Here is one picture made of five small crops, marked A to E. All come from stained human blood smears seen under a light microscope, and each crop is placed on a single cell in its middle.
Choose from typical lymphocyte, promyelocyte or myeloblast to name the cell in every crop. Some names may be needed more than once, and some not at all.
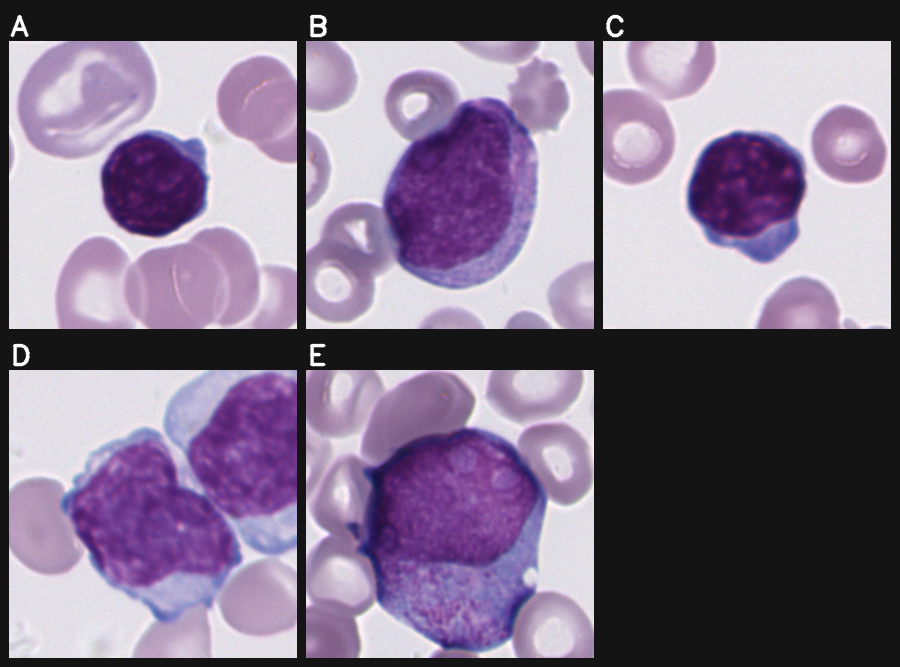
A: typical lymphocyte
B: promyelocyte
C: typical lymphocyte
D: myeloblast
E: promyelocyte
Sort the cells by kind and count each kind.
typical lymphocyte: 2
promyelocyte: 2
myeloblast: 1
